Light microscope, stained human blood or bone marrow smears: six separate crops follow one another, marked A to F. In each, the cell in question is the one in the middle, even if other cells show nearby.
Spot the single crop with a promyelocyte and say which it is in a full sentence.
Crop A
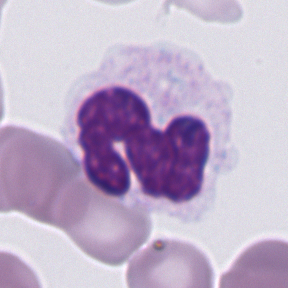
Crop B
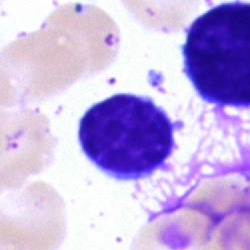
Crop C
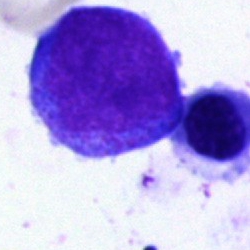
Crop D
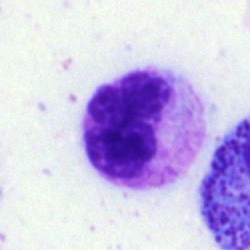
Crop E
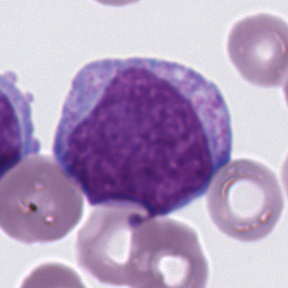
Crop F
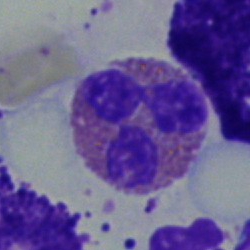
The cell identified as a promyelocyte is the one in crop E.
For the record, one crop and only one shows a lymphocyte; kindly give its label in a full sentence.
So the crop with a lymphocyte at its center is crop B.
